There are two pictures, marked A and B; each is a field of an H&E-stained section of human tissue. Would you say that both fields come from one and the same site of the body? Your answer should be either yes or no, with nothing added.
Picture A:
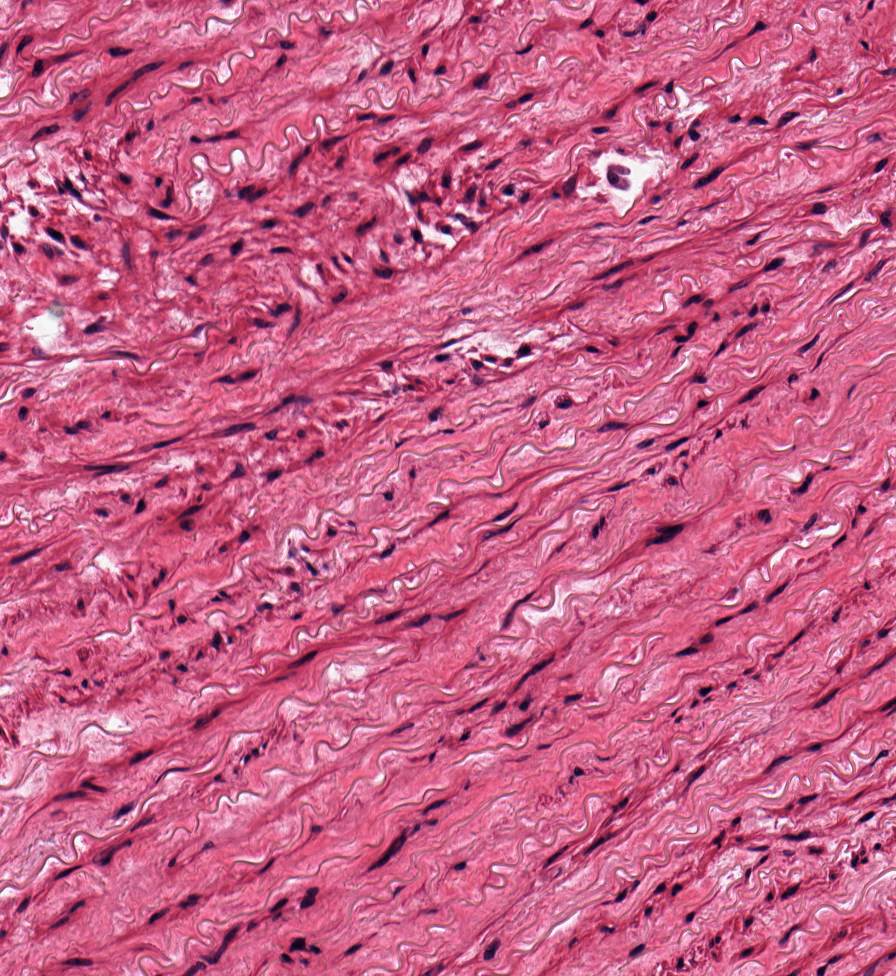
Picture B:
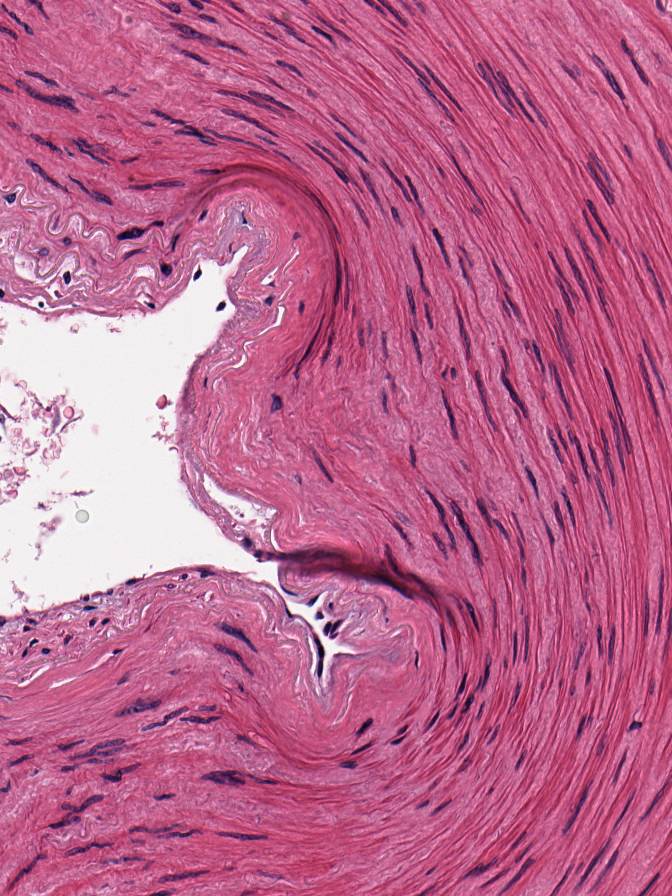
no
